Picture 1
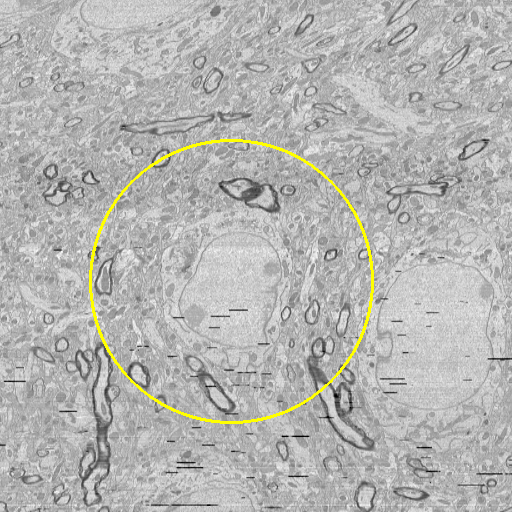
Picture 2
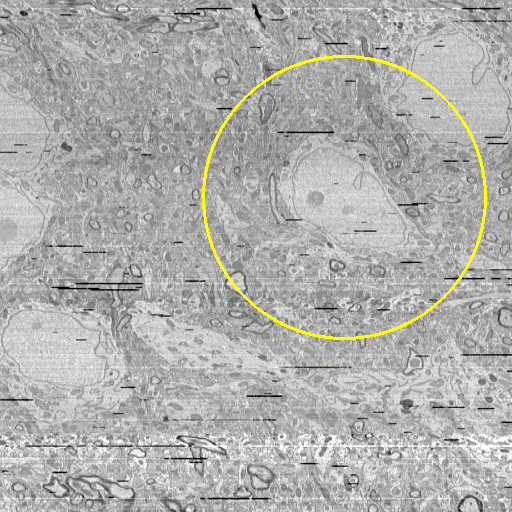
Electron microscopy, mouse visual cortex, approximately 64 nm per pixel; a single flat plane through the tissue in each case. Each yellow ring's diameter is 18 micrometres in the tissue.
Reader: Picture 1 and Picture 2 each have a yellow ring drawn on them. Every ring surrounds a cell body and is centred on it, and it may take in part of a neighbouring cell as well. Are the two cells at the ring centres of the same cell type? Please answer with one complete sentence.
No, the cells are of two cell types.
